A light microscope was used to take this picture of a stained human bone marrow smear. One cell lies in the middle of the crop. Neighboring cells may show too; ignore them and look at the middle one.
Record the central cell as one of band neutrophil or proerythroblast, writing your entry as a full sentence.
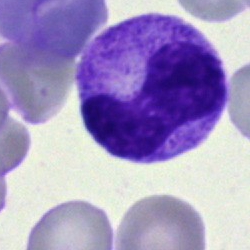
This crop is built around a band neutrophil at its centre.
